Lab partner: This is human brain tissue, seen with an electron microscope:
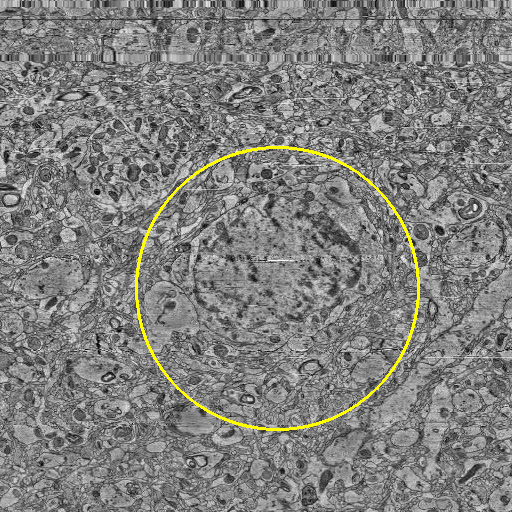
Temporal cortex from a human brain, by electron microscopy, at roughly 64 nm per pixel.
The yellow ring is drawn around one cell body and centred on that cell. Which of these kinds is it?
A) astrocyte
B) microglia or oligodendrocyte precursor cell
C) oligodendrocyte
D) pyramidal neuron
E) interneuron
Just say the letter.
E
